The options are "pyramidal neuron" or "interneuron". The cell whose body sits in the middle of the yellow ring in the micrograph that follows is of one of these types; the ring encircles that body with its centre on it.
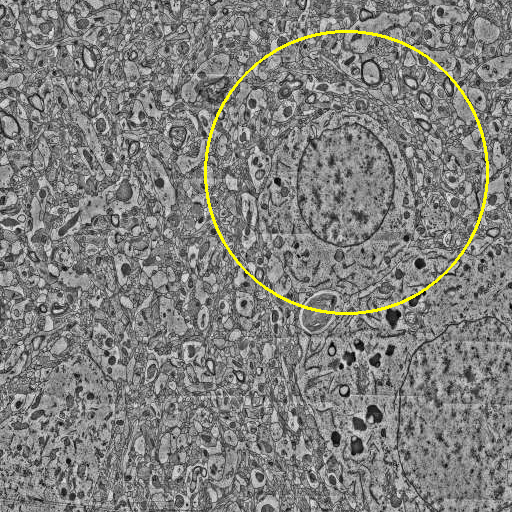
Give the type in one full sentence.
Going by the micrograph, the cell centred in the yellow ring is a pyramidal neuron.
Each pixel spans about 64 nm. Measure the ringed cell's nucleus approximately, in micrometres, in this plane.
The nucleus of the ringed cell is approximately 8 by 6 micrometres in this plane.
